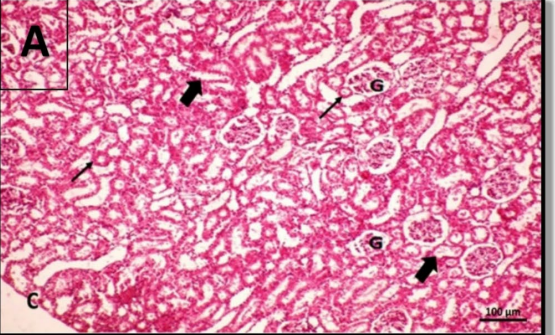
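This is renal cortex with round renal corpuscles, each holding a glomerular tuft of capillaries surrounded by a narrow clear space, scattered among closely packed tubules. The tubules are proximal convoluted tubules with deeply pink cuboidal lining cells and narrow lumens, and distal convoluted tubules with paler cells and wider lumens; a thin capsule bounds the surface at one corner.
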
